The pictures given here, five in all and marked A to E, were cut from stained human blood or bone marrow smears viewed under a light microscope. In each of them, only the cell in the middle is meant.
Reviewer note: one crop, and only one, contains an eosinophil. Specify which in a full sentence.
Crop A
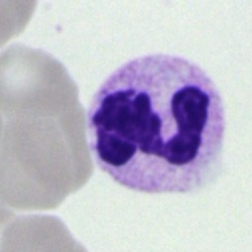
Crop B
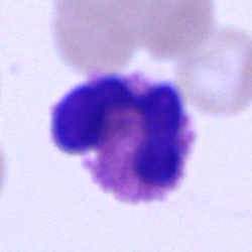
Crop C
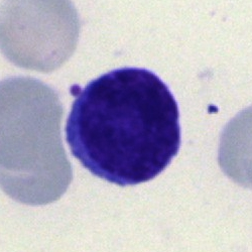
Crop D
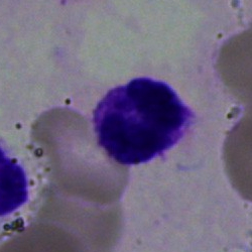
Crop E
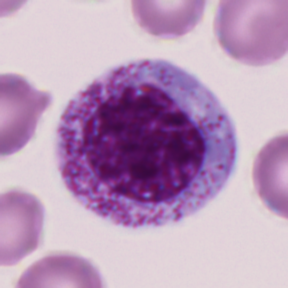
Crop B is identified as the crop showing an eosinophil.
